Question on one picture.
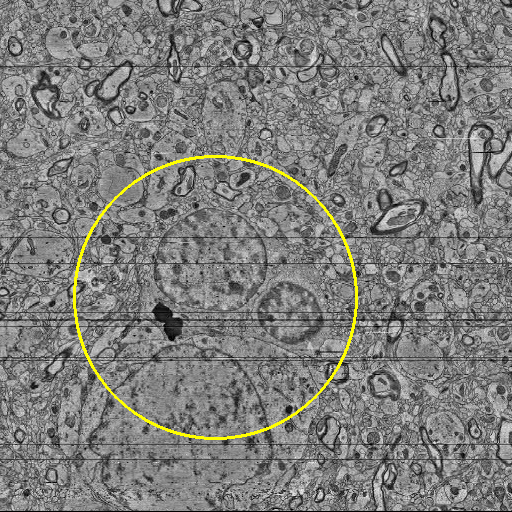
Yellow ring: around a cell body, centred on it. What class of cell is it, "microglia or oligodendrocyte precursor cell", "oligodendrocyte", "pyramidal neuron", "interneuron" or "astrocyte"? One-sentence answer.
This is an oligodendrocyte, the cell the ring is centred on.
